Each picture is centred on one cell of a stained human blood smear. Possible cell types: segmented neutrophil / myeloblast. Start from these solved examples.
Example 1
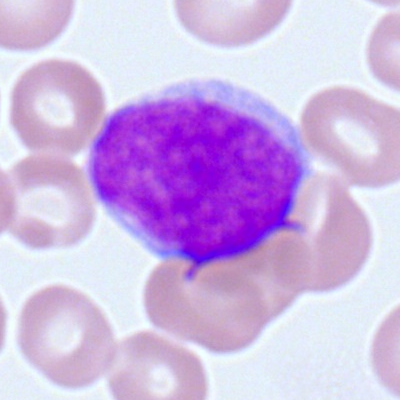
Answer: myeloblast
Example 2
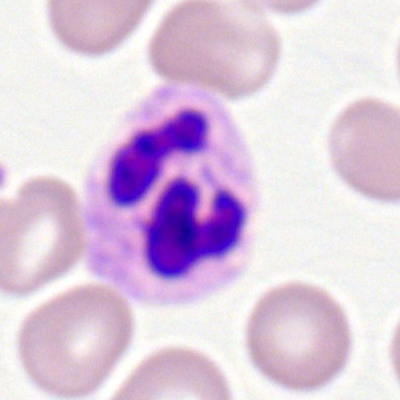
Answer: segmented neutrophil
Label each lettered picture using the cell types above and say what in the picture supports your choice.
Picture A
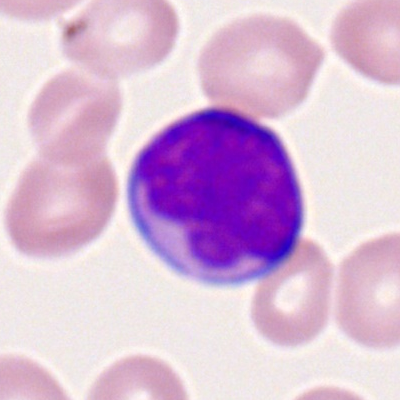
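myeloblast. Reason: The nucleus fills most of the cell.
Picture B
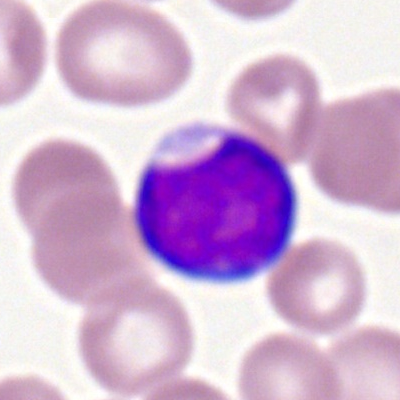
myeloblast. Reason: The cytoplasm is a scant, thin rim of deep blue.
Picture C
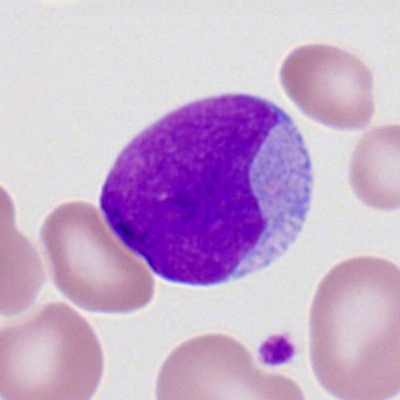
myeloblast. Reason: The nucleus fills most of the cell and lies toward the left side.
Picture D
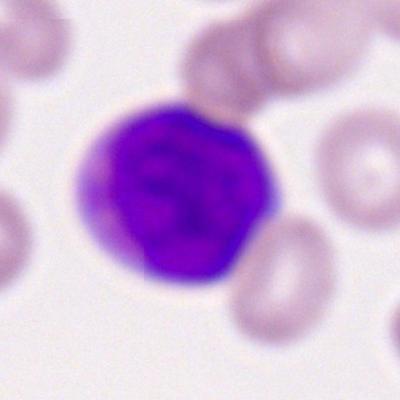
myeloblast. Reason: The cytoplasm is scant and shows mainly as a narrow rim on the left side.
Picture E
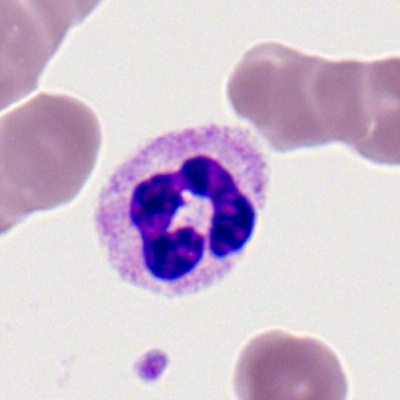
segmented neutrophil. Reason: The cytoplasm is plentiful and pale pinkish-lilac.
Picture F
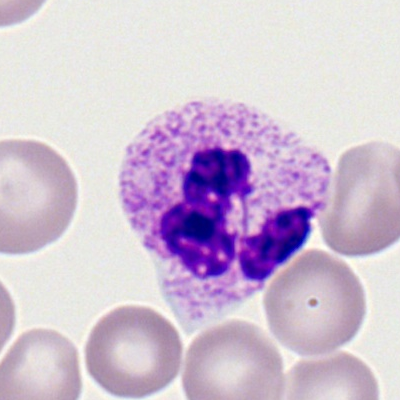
segmented neutrophil. Reason: The nucleus is divided into three separate lobes.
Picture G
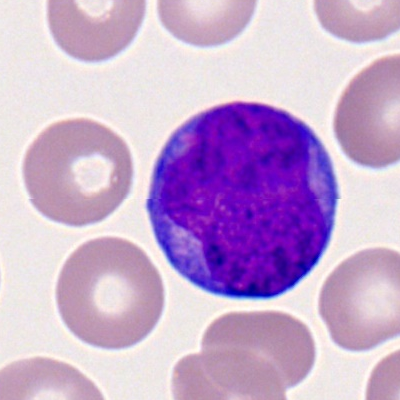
myeloblast. Reason: Only a scant rim of blue cytoplasm surrounds the nucleus.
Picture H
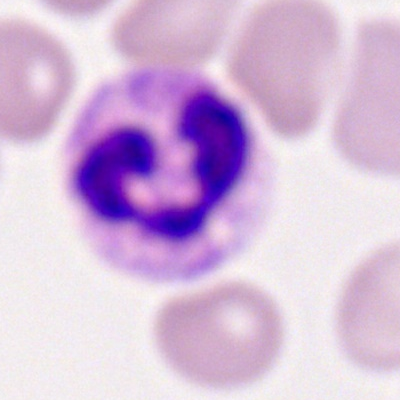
segmented neutrophil. Reason: The nuclear lobes curve around a pale central area of cytoplasm.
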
